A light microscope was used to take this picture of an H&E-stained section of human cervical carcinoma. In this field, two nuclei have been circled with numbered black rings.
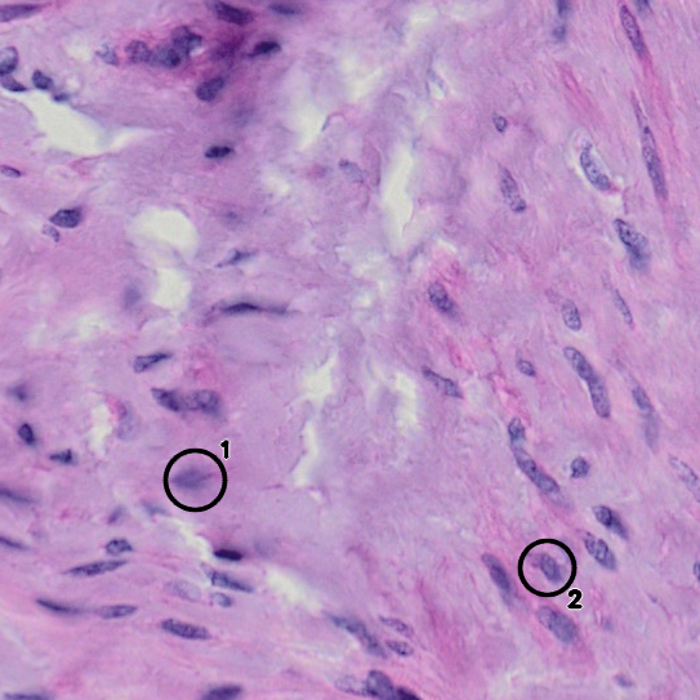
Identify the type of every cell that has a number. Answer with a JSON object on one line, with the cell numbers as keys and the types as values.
{"1": "fibroblast", "2": "smooth muscle cell"}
